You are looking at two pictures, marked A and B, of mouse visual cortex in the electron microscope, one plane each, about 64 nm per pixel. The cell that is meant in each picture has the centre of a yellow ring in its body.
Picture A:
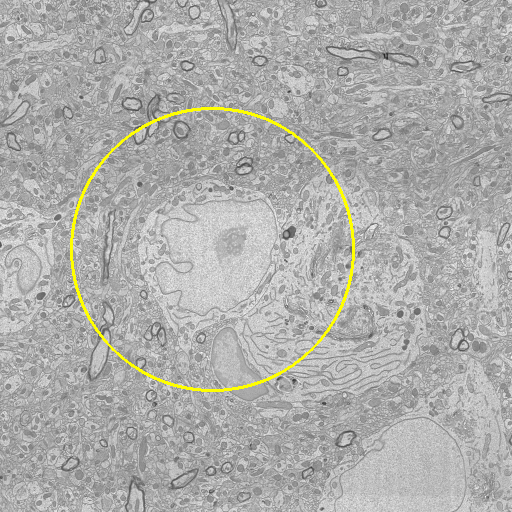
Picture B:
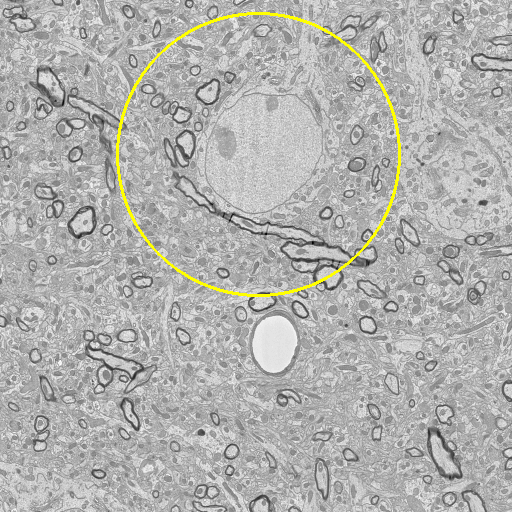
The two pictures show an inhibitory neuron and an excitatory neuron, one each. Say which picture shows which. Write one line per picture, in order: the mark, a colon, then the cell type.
A: inhibitory neuron
B: excitatory neuron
